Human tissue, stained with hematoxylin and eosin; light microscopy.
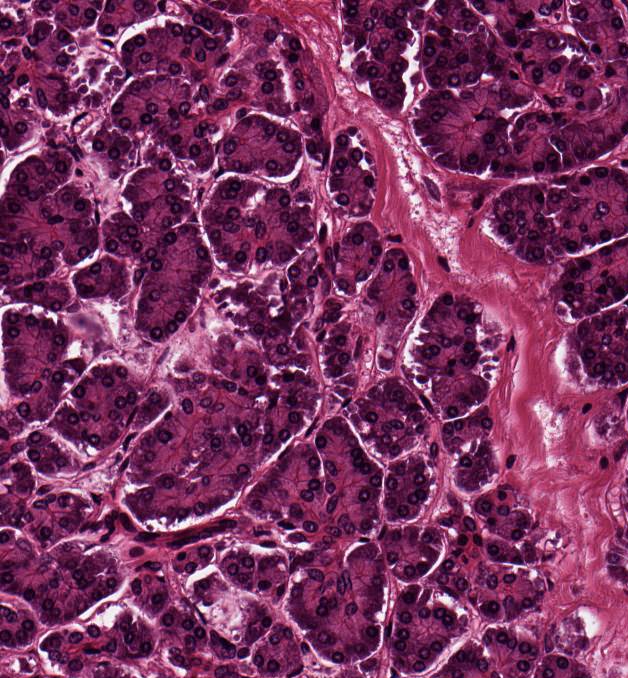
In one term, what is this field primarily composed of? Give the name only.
exocrine pancreas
